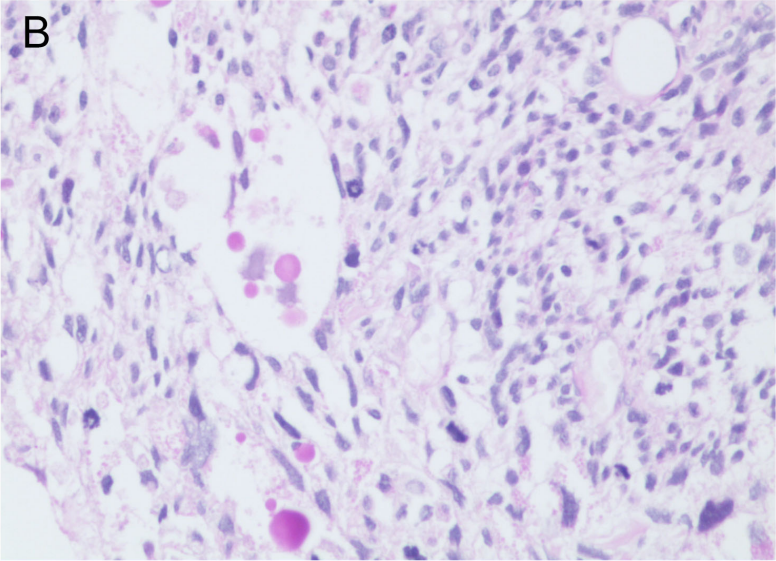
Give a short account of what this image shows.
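This is a tumor of elongated, spindle-shaped cells with dark blue-purple nuclei set in a pale, loose background. The most striking finding is a set of round, sharply outlined globules stained bright magenta, varying from tiny dots to larger droplets. Several of these globules sit within a large clear space near the middle of the field, and others lie among the cells below. The nuclei are elongated or irregular, and a few are dark and enlarged. Clear rounded spaces are scattered through the tissue.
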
